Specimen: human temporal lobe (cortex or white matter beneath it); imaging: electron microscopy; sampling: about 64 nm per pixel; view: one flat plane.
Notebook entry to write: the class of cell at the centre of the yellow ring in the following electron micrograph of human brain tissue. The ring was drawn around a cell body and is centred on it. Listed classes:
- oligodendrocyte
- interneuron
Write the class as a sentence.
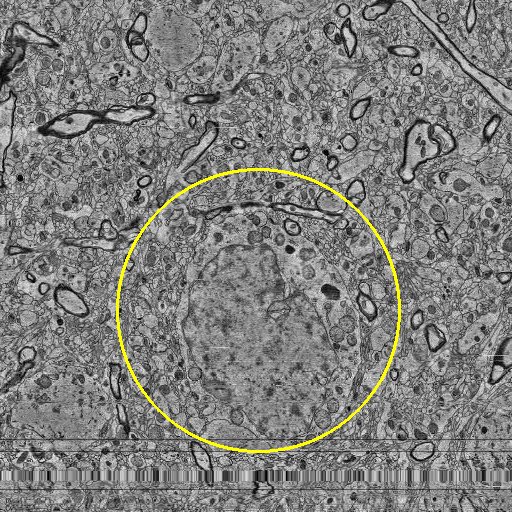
The yellow ring sits on an interneuron.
